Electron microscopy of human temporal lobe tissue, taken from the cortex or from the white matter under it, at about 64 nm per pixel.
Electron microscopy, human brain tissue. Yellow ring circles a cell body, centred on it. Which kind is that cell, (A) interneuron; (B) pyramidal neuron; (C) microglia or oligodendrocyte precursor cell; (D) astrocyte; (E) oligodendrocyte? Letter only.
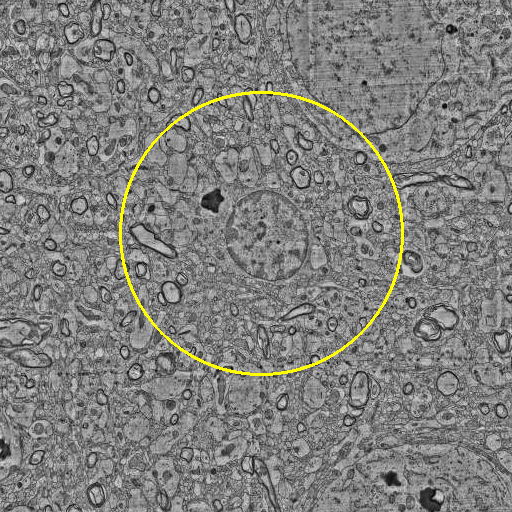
E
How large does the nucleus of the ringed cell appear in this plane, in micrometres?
In this plane, approximately 6 micrometres across.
